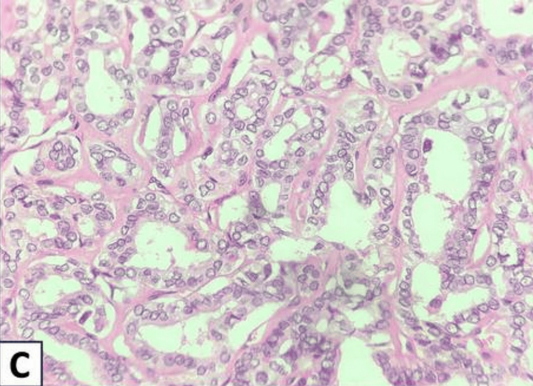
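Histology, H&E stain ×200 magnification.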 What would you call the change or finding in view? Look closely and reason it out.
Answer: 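Follicular variant of papillary carcinoma thyroid. Tumour cells form many small follicle-like spaces. Nuclei are enlarged, pale and overlapping. Little or no colloid fills the spaces.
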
